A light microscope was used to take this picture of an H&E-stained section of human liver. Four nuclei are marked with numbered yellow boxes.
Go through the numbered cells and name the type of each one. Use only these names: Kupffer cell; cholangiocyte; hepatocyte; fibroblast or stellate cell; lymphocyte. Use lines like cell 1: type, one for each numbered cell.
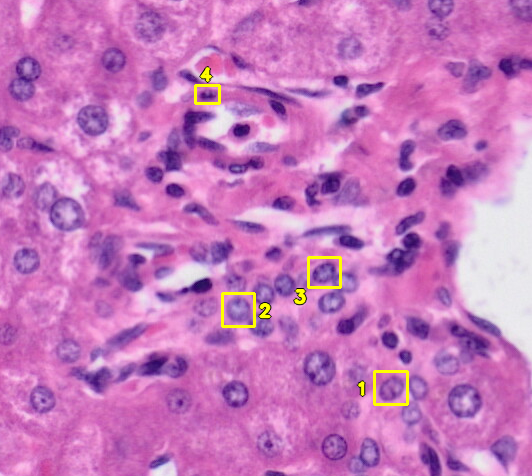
cell 1: cholangiocyte
cell 2: cholangiocyte
cell 3: cholangiocyte
cell 4: fibroblast or stellate cell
